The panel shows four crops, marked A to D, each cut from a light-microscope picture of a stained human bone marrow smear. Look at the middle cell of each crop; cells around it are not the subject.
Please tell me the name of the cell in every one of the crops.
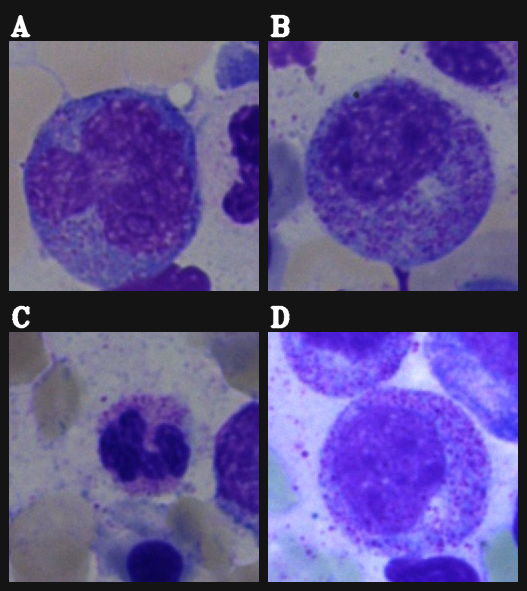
A: monocyte
B: promyelocyte
C: basophil
D: myelocyte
